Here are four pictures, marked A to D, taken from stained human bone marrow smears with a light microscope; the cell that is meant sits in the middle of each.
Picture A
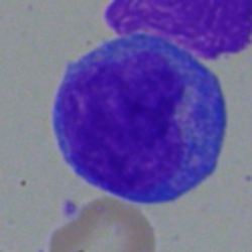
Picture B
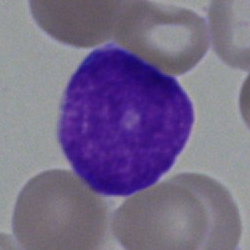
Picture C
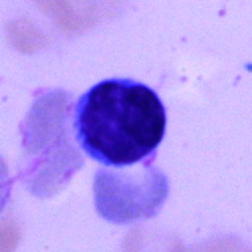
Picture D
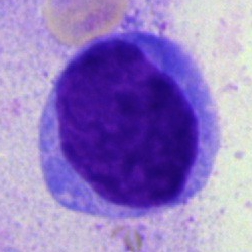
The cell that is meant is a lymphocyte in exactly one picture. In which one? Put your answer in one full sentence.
The cell in picture C is the lymphocyte.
